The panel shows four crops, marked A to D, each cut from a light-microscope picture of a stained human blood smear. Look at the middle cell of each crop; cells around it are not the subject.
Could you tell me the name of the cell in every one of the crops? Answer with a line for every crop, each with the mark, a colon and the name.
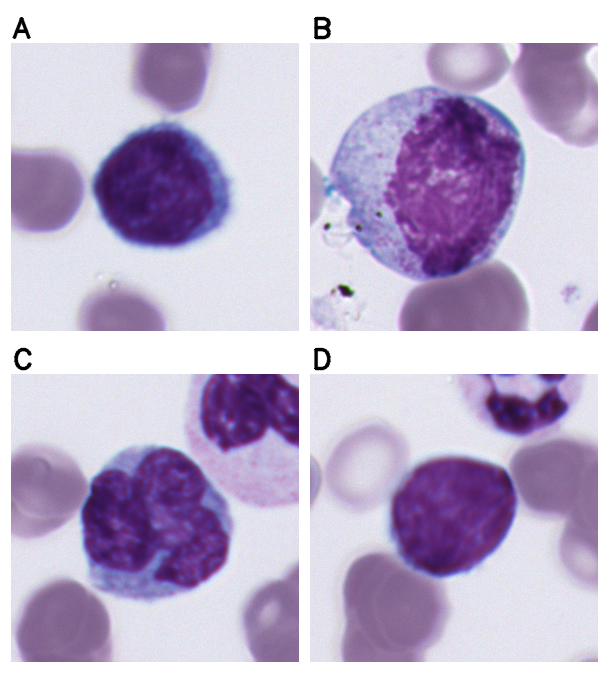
A: lymphocyte
B: myelocyte
C: monocyte
D: lymphocyte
